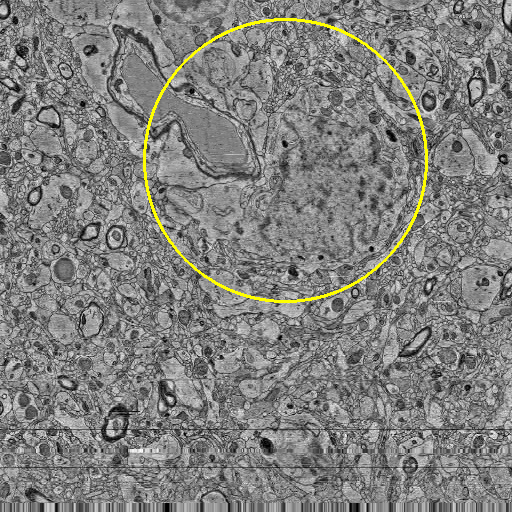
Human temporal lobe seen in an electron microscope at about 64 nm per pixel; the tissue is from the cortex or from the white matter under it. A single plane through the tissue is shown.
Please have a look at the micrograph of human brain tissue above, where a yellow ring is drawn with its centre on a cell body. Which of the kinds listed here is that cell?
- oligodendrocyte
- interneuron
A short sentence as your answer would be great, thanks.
At the centre of the ring sits an interneuron.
